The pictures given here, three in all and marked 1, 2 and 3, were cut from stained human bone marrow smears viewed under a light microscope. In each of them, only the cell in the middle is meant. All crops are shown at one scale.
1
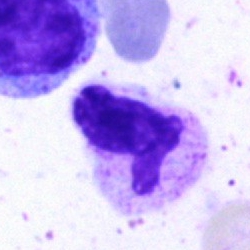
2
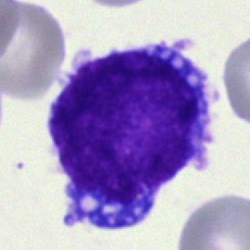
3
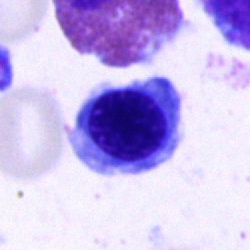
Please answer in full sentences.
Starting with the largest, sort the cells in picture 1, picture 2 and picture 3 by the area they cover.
Going down, they run 2, 1, 3.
